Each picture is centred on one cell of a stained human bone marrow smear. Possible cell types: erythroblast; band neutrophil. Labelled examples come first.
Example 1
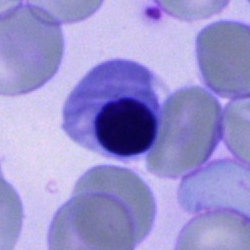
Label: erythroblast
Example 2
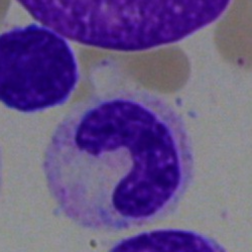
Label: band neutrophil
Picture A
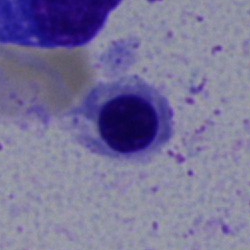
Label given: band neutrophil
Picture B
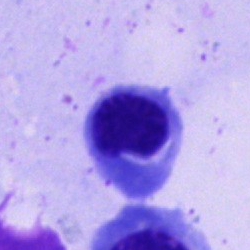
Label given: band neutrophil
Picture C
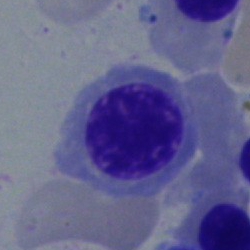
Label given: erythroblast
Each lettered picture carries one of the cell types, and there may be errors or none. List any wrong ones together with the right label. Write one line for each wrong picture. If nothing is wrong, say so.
A is labelled band neutrophil; correct label: erythroblast
B is labelled band neutrophil; correct label: erythroblast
